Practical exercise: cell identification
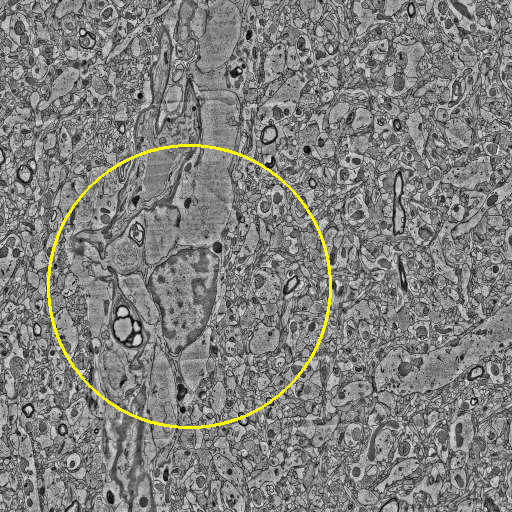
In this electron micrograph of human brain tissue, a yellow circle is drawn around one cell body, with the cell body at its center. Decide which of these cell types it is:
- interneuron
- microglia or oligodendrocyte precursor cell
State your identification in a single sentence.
The ringed cell is a microglial cell or oligodendrocyte precursor cell.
